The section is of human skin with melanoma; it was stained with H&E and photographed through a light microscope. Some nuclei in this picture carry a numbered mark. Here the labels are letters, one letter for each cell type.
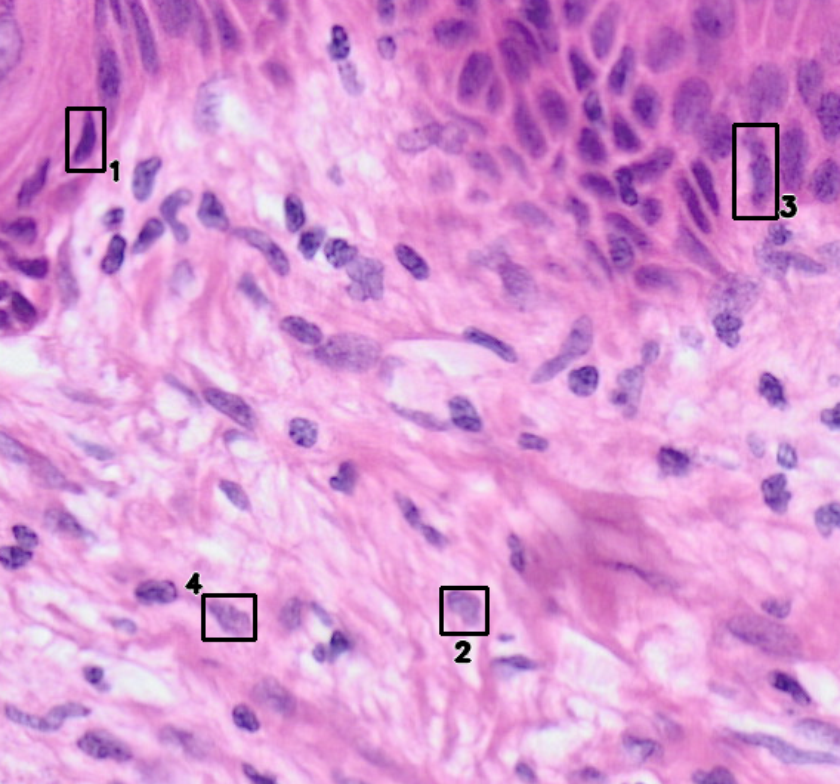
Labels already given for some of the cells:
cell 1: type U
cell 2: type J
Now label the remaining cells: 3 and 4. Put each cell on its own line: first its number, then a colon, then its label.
3: type U
4: type J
